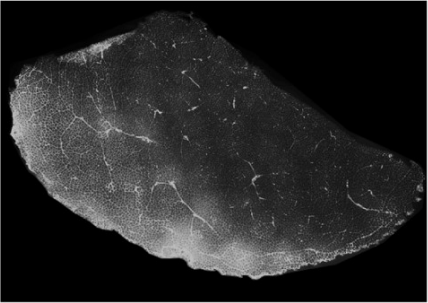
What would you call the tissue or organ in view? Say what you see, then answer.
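Muscle section. A fine polygonal meshwork of cell outlines fills the section. Brighter branching septa divide it into groups.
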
